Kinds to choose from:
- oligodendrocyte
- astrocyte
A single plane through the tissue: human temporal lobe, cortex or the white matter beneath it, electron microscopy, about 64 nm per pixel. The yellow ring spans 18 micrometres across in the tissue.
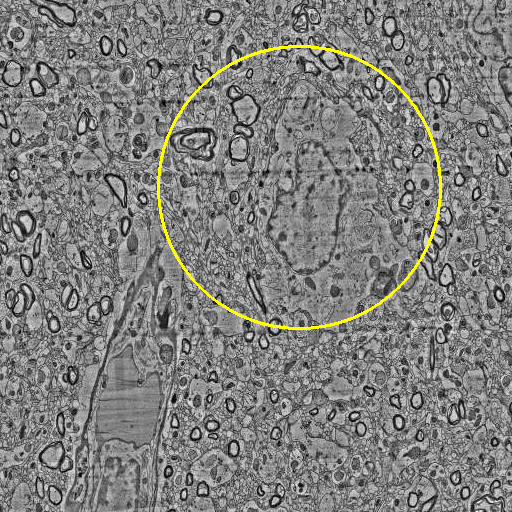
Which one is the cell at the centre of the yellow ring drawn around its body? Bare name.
astrocyte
